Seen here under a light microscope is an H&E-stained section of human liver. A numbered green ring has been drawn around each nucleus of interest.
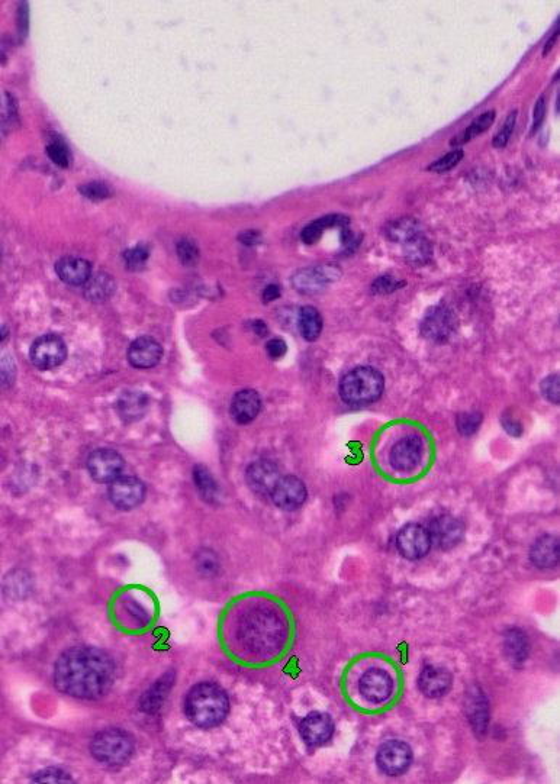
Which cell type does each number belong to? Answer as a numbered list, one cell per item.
1. hepatocyte
2. Kupffer cell
3. hepatocyte
4. hepatocyte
